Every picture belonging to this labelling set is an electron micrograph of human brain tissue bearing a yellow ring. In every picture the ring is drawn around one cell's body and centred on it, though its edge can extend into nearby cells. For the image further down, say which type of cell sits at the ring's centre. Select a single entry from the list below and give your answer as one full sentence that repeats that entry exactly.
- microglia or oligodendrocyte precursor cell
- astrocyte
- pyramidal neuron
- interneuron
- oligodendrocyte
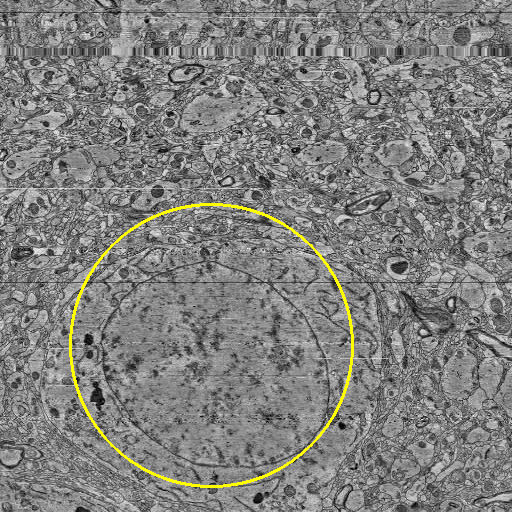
In the picture, a pyramidal neuron is the cell at the centre of the yellow ring.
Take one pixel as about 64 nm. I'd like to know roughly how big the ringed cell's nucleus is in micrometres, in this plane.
Approximately 16 x 13 micrometres in this plane.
